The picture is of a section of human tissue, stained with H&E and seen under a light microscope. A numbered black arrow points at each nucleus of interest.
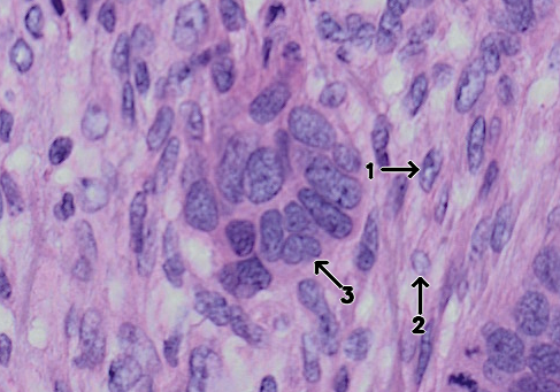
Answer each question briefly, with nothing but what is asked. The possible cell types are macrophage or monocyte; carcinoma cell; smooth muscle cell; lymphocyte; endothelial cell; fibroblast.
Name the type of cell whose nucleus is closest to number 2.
fibroblast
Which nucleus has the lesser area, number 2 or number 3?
2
